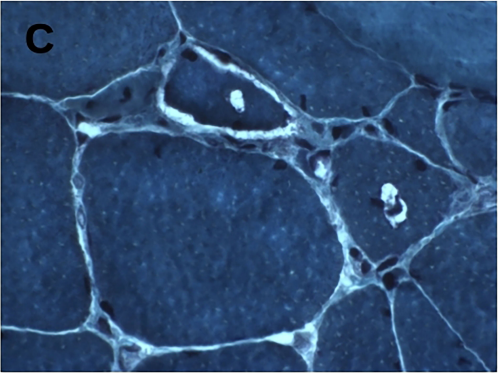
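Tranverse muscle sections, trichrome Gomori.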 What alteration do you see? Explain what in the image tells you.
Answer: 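Two fibers contain small clear vacuoles within their cytoplasm. The vacuoles have irregular margins.
Rimmed-vacuolar changes.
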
